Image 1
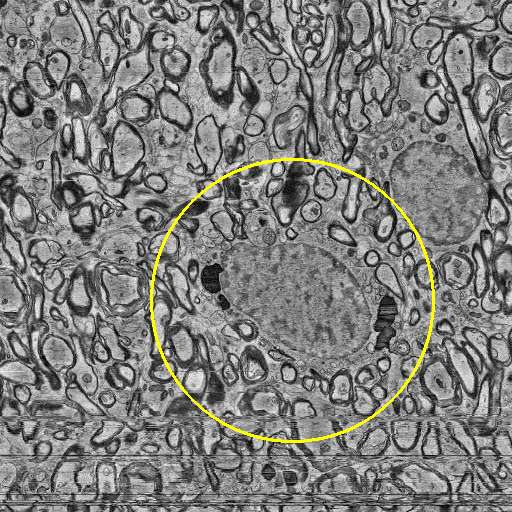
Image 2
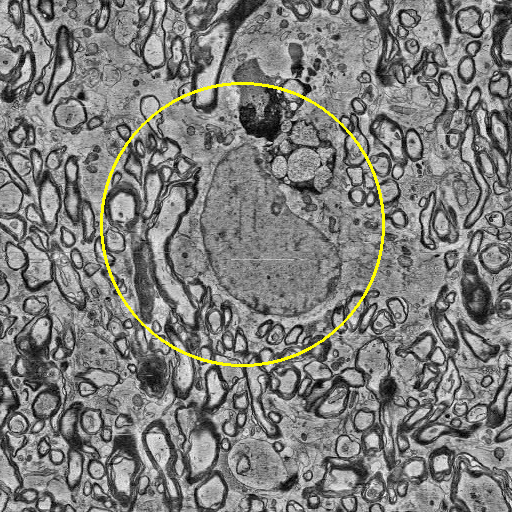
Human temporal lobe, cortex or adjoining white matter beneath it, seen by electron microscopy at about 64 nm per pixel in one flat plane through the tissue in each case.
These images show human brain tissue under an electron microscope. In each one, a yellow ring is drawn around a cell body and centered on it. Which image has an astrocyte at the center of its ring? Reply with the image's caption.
Image 2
